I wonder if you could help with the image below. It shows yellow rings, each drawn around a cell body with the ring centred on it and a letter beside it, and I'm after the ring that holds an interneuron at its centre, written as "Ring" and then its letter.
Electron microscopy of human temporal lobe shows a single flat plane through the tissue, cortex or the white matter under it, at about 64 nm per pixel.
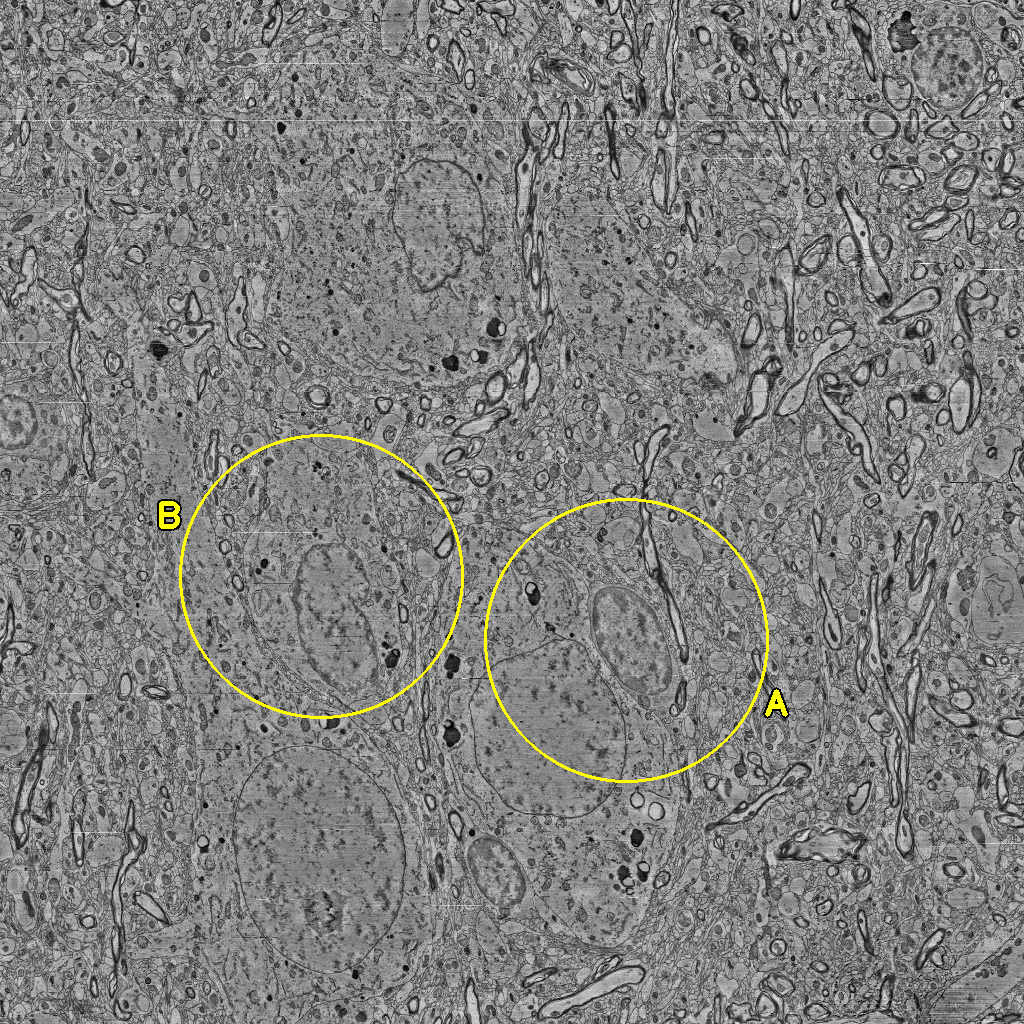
Ring B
